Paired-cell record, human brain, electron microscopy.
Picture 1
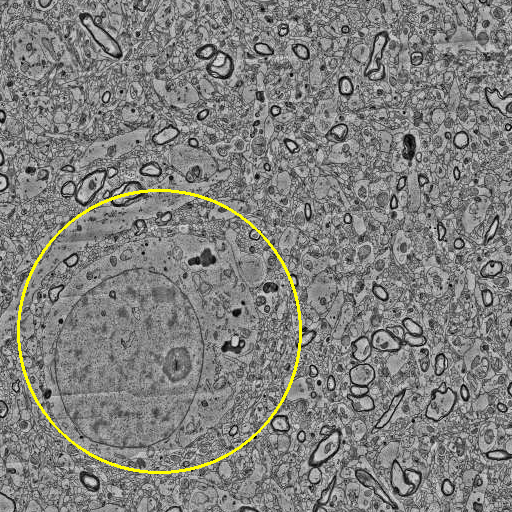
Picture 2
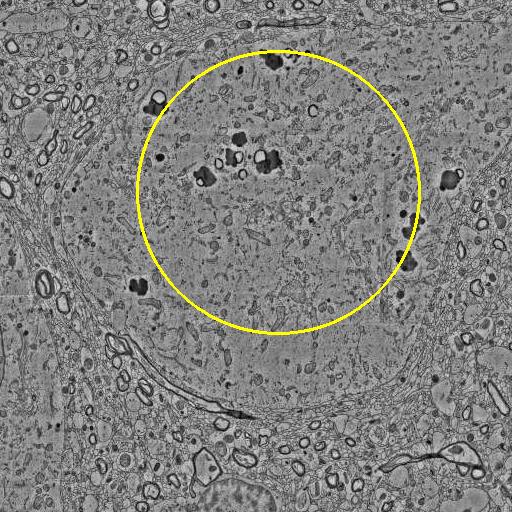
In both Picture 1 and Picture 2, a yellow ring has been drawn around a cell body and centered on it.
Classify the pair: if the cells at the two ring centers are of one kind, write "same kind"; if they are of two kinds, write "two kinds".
same kind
